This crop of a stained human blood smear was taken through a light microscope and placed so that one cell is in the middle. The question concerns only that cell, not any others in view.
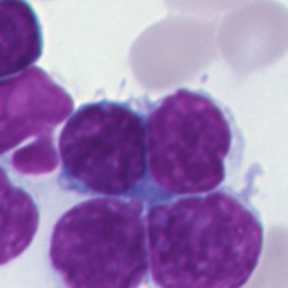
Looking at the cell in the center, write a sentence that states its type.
In this crop, the cell at the very middle is a myeloblast.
